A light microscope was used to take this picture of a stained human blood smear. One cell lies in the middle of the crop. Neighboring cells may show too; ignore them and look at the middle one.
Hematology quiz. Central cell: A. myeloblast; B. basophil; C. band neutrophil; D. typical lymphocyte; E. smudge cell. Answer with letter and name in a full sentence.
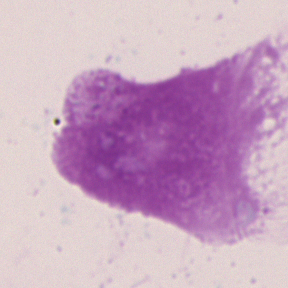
The cell at the heart of the crop is a smudge cell, so choose option E.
